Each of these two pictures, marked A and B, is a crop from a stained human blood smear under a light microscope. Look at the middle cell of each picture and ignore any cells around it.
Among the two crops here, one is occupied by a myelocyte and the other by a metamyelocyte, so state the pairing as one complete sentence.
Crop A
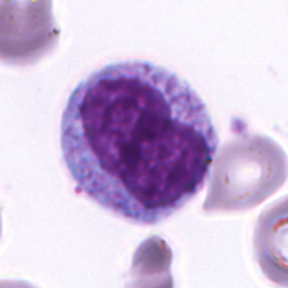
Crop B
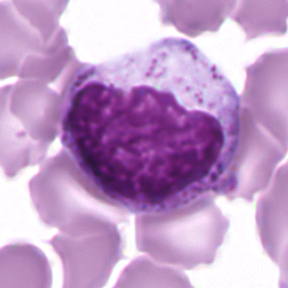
The cell centred in crop A is a metamyelocyte, and the one centred in crop B is a myelocyte.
